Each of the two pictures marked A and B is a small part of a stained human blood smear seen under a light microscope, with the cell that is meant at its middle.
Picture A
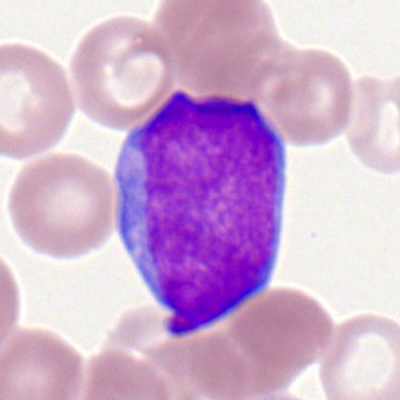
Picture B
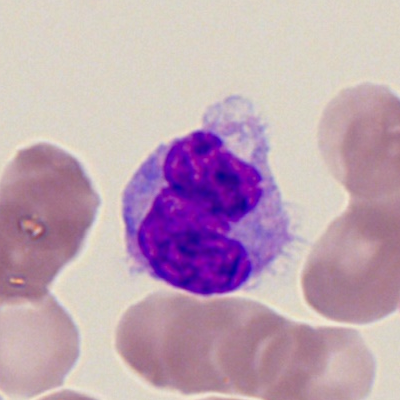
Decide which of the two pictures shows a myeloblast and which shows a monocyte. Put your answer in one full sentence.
It is picture A that shows a myeloblast, and picture B that shows a monocyte.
